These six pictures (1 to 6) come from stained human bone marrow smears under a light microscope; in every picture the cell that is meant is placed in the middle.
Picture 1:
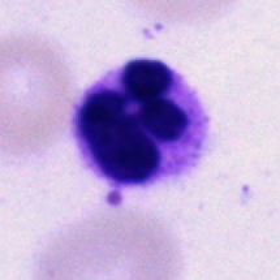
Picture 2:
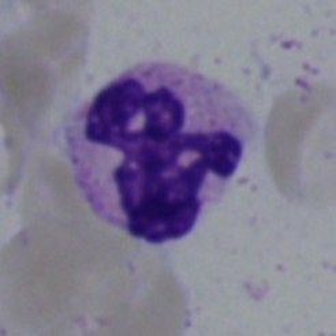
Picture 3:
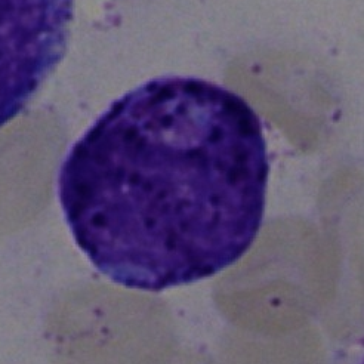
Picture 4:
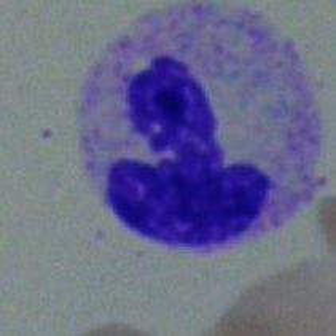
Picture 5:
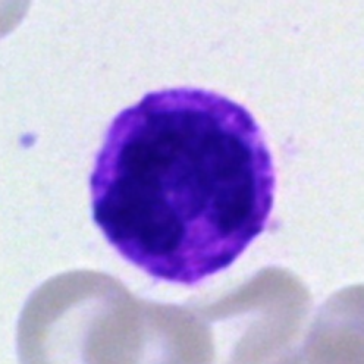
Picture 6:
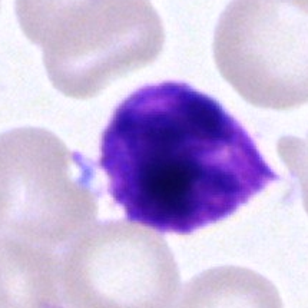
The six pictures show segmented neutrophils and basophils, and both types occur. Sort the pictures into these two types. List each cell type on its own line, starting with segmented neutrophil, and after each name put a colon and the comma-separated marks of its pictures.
segmented neutrophil: 1, 2, 4
basophil: 3, 5, 6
